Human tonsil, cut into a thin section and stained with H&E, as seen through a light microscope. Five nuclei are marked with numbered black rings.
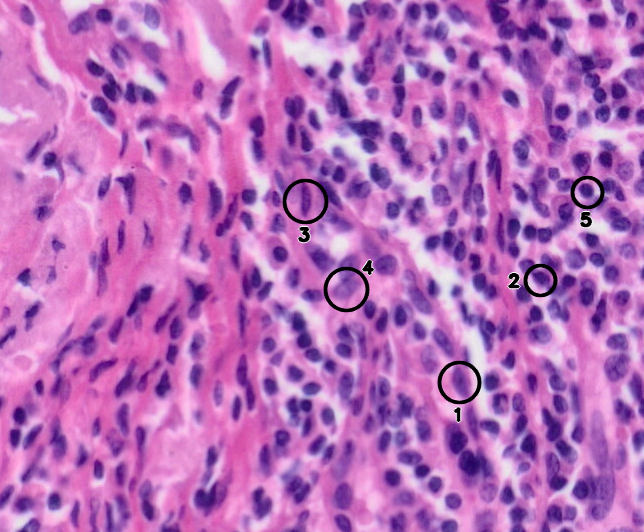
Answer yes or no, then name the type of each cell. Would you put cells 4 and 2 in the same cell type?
No, unlike cell 4, which is an endothelial cell, cell 2 is a small lymphocyte.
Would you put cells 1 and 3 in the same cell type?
Yes, in the case of cells 1 and 3, both are endothelial cells.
